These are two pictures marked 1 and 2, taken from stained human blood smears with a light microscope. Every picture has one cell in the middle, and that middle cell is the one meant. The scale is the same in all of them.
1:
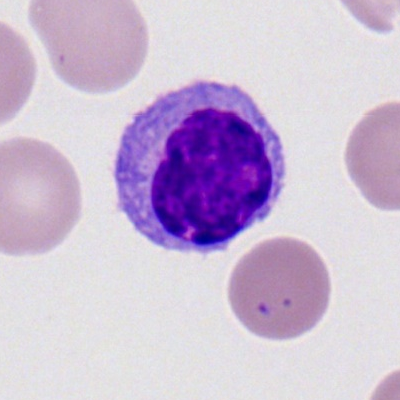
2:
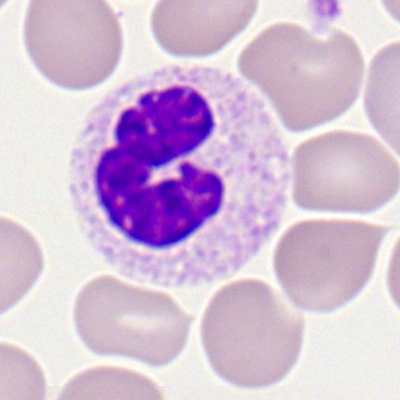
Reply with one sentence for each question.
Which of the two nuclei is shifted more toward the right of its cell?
Seen within its cell, the nucleus in picture 1 lies further toward the right.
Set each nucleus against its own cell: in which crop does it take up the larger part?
The nucleus fills more of the cell in picture 1 than in picture 2.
